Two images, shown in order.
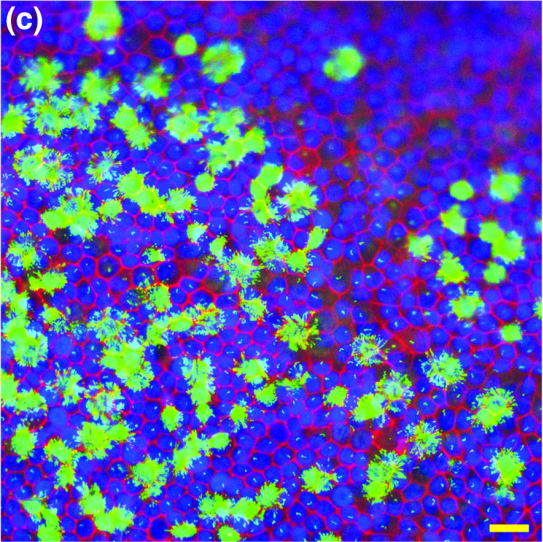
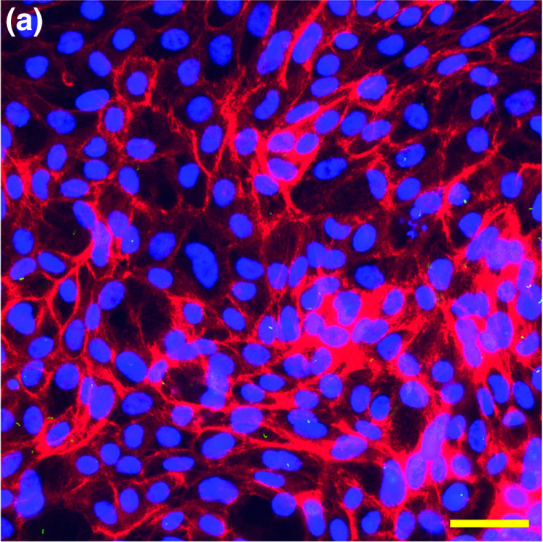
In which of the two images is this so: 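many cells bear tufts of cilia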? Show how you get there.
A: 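First image: numerous bright green tufts of cilia stand out over the cell sheet. Second image: no tufts of cilia are visible on any cell. The answer: the first image.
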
